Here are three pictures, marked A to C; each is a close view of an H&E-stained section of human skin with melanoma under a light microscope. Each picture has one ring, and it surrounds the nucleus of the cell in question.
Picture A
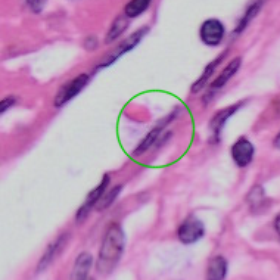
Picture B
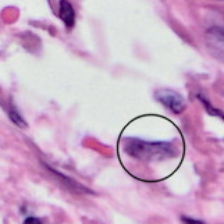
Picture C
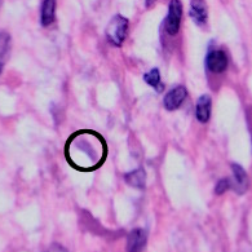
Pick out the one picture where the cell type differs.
A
